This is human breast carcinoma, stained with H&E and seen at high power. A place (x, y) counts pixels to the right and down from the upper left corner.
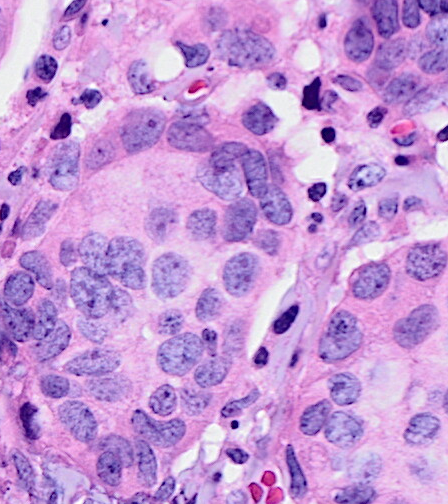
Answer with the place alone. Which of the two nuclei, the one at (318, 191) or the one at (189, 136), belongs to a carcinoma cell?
(189, 136)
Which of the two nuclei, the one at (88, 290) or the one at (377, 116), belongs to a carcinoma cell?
(88, 290)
